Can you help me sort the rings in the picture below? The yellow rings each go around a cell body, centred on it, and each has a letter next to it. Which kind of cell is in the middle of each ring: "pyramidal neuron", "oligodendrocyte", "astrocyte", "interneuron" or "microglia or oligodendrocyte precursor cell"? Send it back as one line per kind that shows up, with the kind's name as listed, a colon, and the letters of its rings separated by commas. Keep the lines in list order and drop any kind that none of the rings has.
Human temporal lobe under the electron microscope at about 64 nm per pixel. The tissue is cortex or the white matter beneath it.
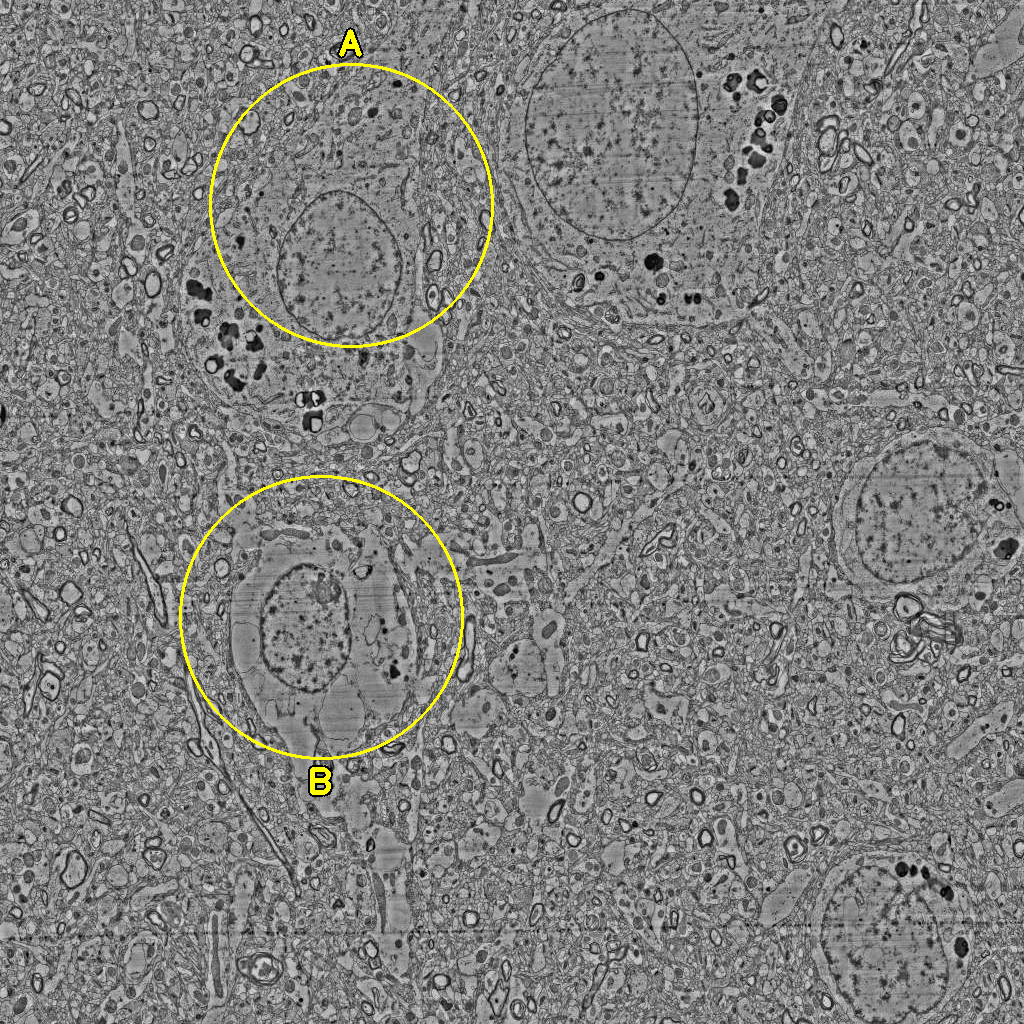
pyramidal neuron: A
astrocyte: B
